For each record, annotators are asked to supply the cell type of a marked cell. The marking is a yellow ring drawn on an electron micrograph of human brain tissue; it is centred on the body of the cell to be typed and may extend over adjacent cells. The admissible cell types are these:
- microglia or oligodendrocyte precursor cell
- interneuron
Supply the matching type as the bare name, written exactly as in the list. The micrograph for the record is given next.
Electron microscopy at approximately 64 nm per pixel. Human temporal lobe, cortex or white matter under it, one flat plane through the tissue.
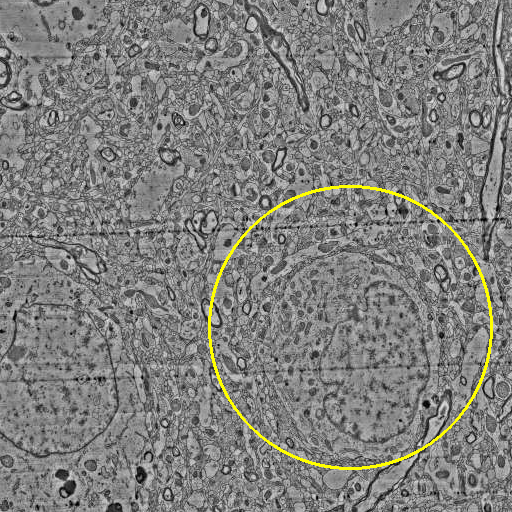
interneuron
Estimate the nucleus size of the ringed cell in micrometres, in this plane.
The nucleus has a long axis of about 10 micrometres and a short axis of about 7 micrometres in this plane.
